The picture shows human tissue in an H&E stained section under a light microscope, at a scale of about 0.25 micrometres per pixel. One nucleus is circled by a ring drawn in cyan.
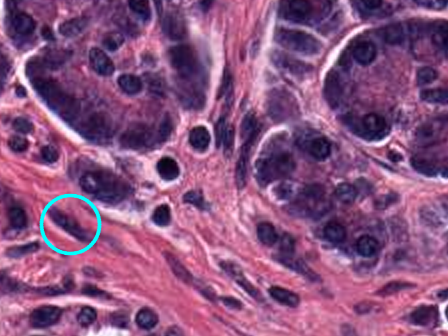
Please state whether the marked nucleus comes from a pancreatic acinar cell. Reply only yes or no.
no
